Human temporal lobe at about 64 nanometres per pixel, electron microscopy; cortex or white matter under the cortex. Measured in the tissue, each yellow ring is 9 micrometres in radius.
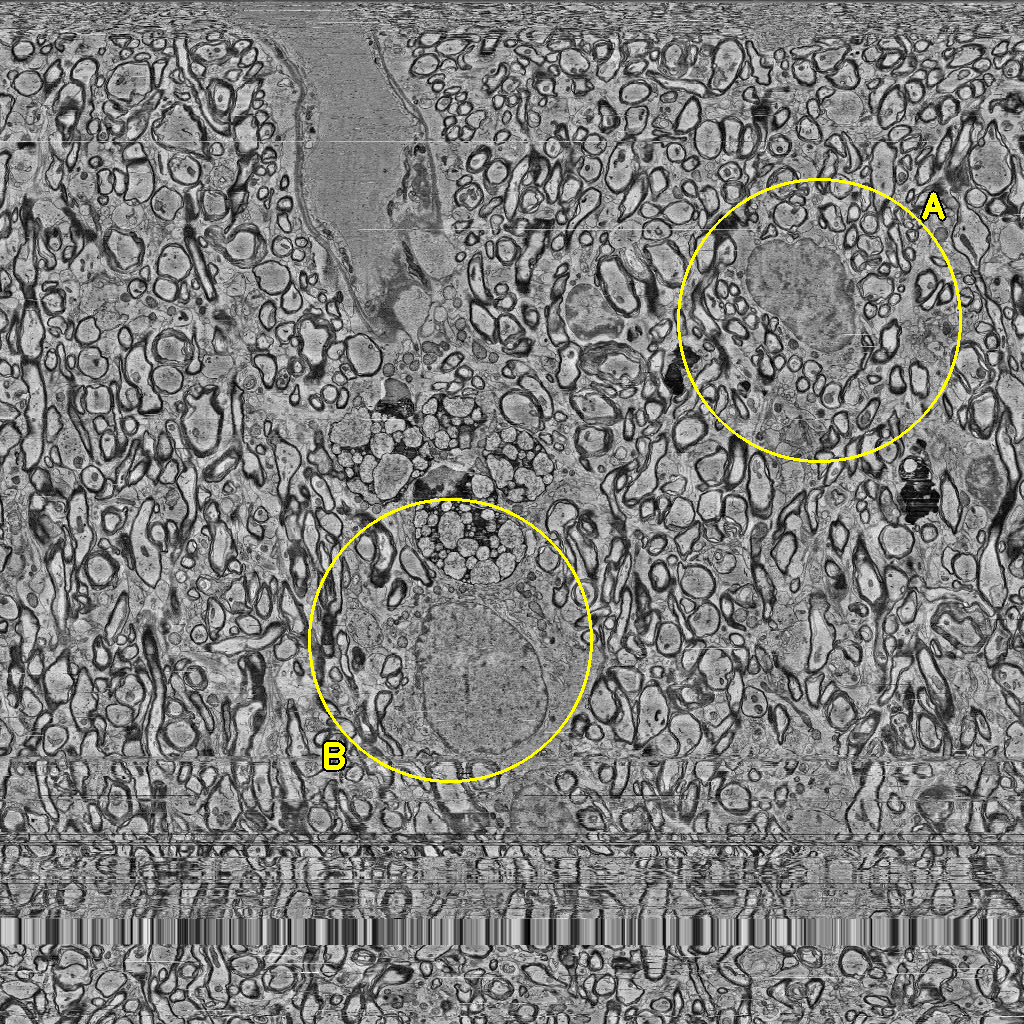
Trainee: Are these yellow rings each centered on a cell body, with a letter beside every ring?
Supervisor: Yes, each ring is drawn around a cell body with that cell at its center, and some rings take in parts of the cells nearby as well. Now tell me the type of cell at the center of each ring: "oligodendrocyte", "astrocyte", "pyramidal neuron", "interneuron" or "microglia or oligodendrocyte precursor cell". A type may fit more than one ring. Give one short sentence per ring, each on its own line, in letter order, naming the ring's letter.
Ring A has an oligodendrocyte at its center.
Ring B has an astrocyte at its center.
